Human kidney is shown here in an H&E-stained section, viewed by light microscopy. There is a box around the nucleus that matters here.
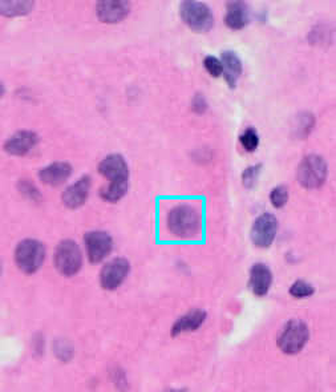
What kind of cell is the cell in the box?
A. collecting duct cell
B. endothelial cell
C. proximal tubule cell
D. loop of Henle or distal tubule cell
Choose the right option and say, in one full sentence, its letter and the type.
As the cell in the box is a proximal tubule cell, the correct choice is option C.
